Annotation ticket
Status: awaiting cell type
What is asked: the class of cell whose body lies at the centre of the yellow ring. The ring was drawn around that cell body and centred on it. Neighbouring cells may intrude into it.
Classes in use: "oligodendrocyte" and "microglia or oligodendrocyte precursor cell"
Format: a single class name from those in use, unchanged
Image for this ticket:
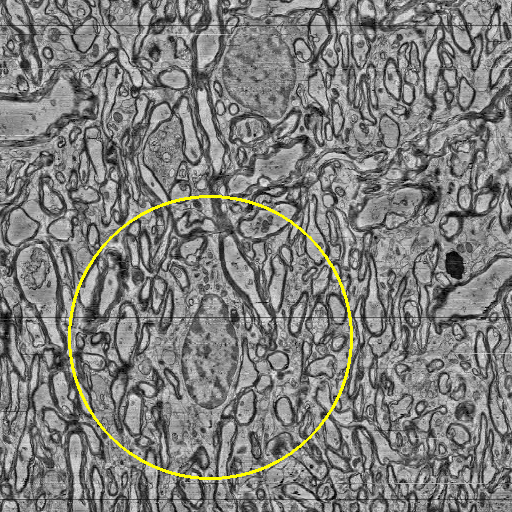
microglia or oligodendrocyte precursor cell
